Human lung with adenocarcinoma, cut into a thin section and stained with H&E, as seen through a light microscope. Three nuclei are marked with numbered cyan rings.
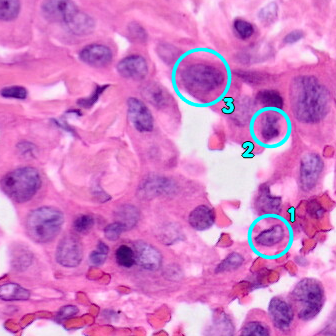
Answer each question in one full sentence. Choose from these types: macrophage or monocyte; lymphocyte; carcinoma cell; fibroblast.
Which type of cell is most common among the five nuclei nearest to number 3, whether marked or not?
Around number 3, most of the five nearest nuclei are those of carcinoma cells.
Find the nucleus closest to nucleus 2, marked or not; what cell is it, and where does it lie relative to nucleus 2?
A carcinoma cell lies closest, above nucleus 2.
